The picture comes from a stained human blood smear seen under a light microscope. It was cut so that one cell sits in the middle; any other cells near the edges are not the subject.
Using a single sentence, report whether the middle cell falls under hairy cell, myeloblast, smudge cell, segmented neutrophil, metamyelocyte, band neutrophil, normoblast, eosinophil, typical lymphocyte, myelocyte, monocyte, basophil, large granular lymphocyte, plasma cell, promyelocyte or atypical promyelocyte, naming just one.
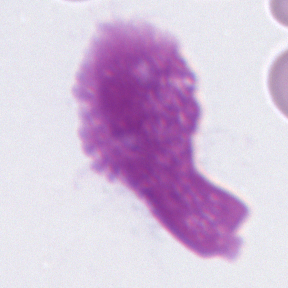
In the middle of this smear crop, the cell is a smudge cell.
